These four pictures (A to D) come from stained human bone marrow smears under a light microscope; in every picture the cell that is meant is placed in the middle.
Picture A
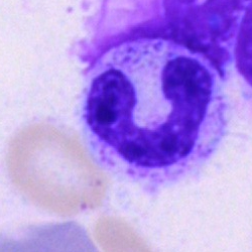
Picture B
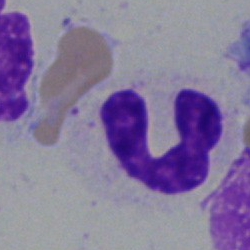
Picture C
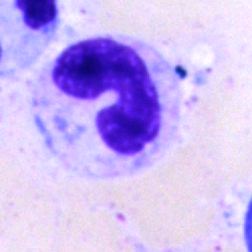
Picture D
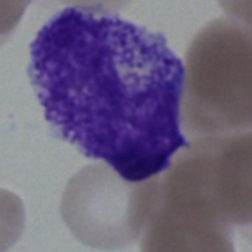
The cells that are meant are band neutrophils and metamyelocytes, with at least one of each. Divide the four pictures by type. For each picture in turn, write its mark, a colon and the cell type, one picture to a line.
A: band neutrophil
B: band neutrophil
C: band neutrophil
D: metamyelocyte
